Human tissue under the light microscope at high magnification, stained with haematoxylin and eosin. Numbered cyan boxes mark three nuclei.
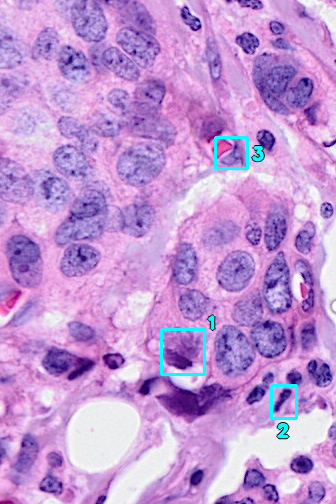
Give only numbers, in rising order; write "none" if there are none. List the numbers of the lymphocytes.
2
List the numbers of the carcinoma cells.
1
